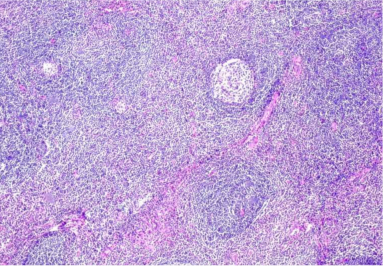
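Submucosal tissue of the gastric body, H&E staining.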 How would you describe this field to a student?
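This field of lymphoid tissue shows several small, pale follicle centers that look shrunken. Pink fibrous strands cross the lymphoid tissue between the follicles.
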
